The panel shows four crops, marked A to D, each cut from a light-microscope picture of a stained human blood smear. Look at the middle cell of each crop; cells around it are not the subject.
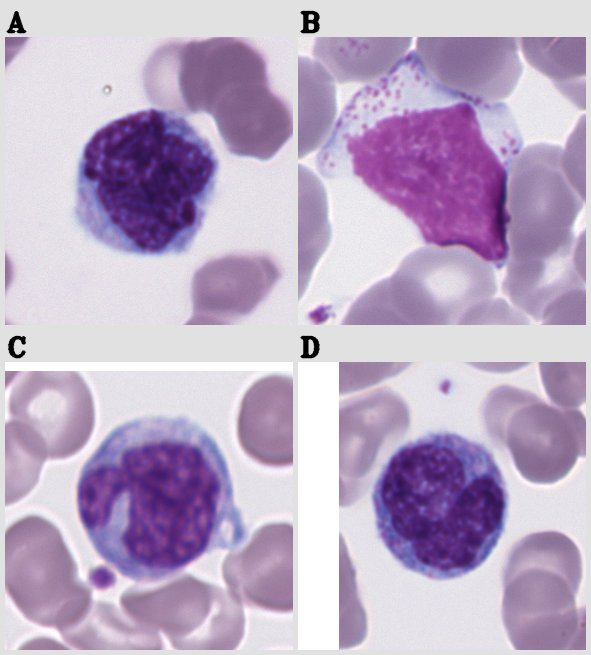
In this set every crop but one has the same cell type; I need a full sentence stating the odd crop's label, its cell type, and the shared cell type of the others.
Crop B is the one that is a large granular lymphocyte, and the other crops all show monocytes.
